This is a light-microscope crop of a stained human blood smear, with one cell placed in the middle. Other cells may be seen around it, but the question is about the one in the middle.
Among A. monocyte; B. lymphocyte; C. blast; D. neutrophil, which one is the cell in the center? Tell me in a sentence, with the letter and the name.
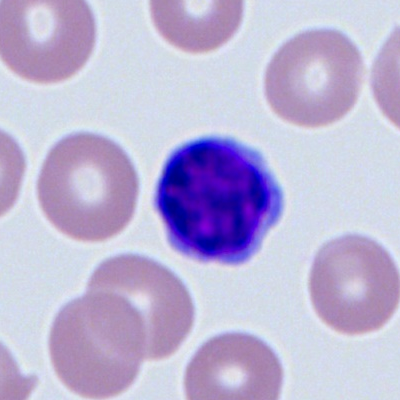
The cell in the middle is a lymphocyte, and that makes option B correct.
